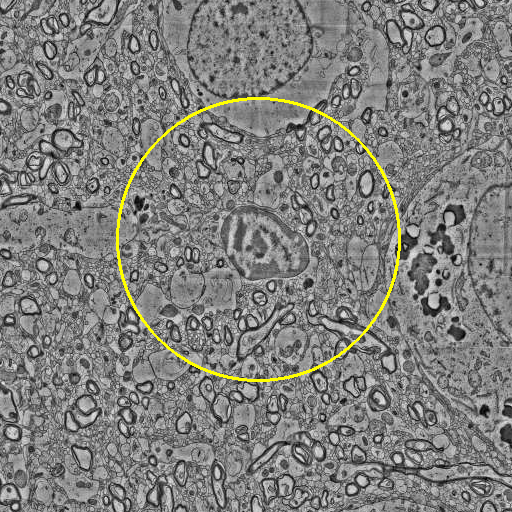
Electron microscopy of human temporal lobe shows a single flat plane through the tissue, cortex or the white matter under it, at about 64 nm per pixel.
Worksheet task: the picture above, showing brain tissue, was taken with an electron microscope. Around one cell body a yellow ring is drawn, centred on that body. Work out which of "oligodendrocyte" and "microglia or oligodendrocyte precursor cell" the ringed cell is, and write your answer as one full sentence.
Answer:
It is a microglial cell or oligodendrocyte precursor cell whose cell body lies at the centre of the yellow ring.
